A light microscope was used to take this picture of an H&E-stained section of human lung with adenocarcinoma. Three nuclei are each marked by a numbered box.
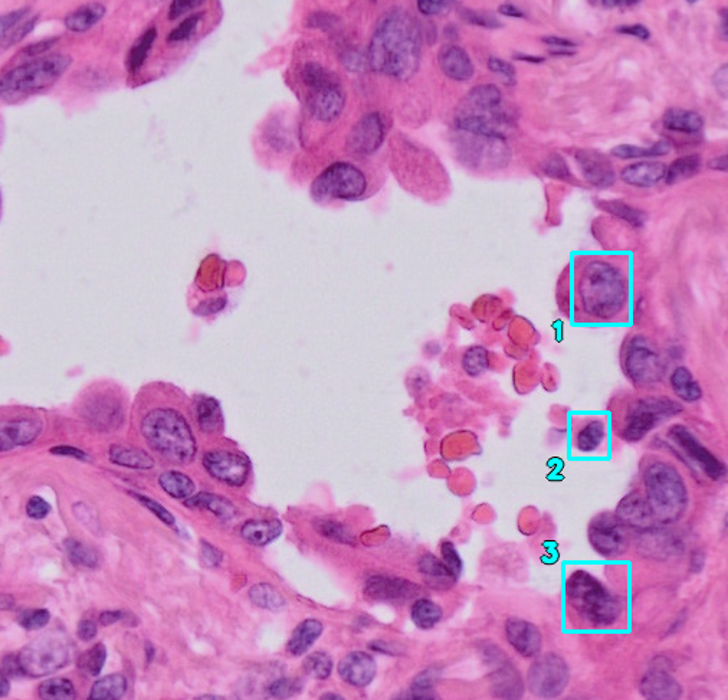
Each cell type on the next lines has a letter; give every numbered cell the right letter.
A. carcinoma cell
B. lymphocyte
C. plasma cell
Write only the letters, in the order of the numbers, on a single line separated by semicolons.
A; B; A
